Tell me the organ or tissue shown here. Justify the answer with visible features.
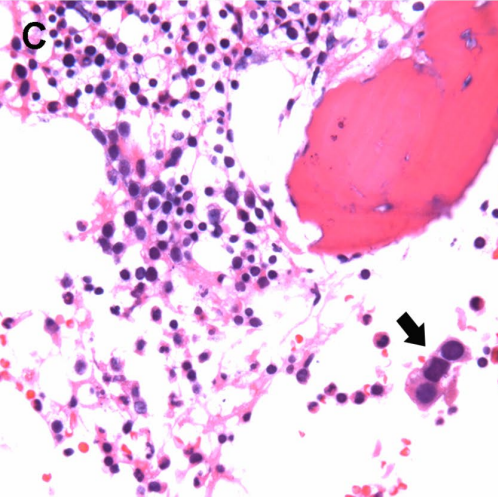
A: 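A pink bony trabecula. Mixed small hematopoietic cells between empty fat spaces.
Bone marrow.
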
